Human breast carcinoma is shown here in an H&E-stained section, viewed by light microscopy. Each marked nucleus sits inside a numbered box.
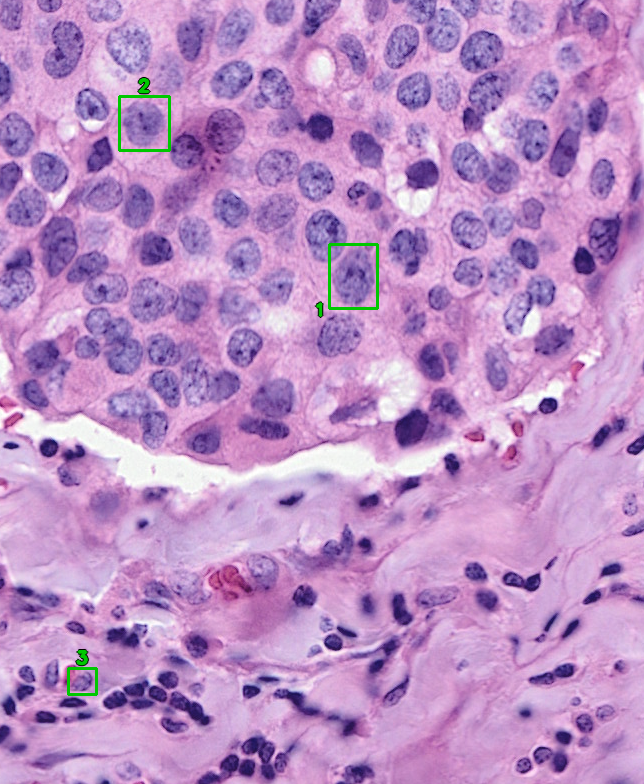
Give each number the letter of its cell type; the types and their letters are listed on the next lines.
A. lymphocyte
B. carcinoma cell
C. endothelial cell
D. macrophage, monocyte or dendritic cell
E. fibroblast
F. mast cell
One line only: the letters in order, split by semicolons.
B; B; C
